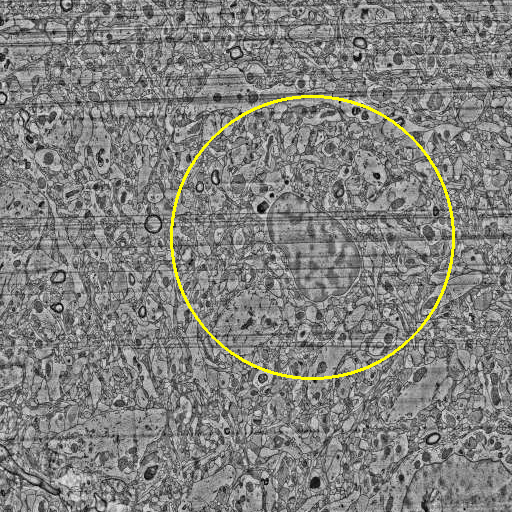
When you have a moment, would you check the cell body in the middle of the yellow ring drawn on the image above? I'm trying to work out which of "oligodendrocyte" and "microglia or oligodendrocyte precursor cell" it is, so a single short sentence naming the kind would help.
This cell body belongs to a microglial cell or oligodendrocyte precursor cell.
